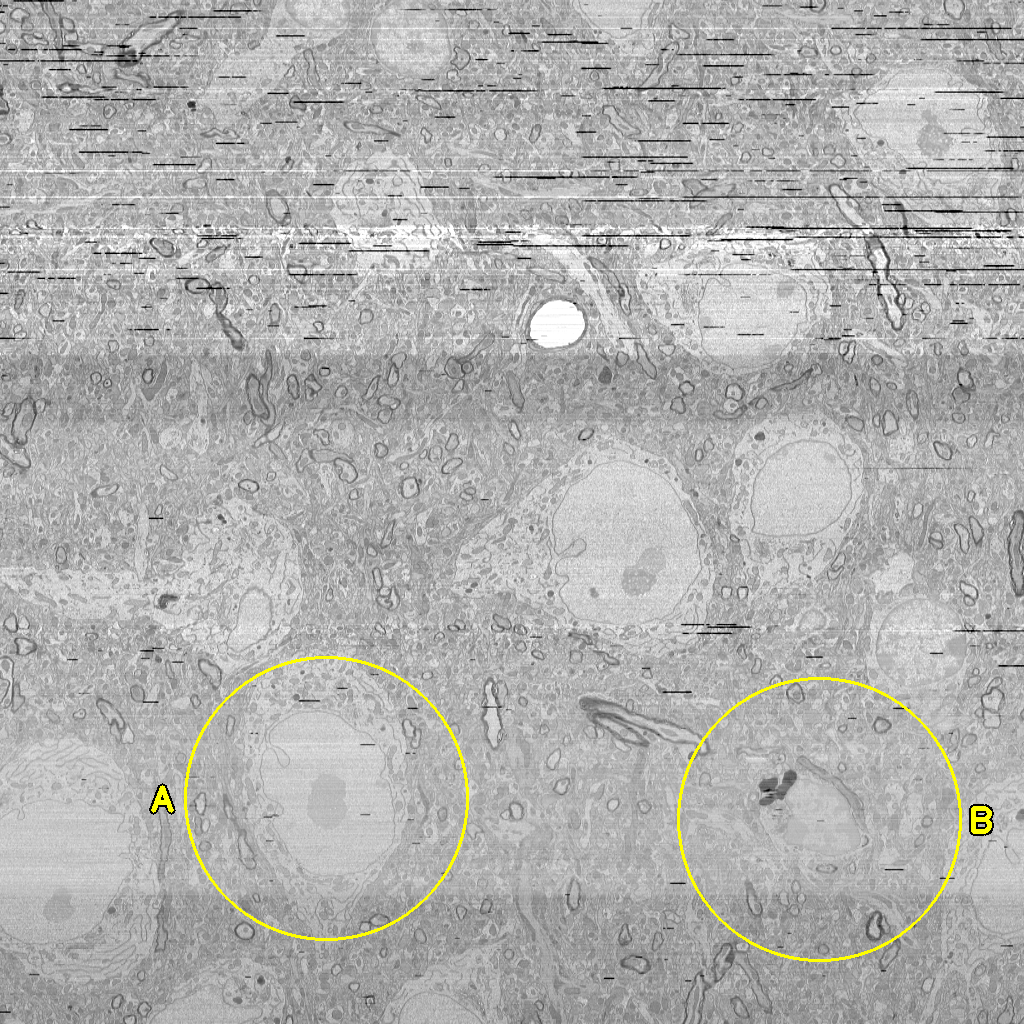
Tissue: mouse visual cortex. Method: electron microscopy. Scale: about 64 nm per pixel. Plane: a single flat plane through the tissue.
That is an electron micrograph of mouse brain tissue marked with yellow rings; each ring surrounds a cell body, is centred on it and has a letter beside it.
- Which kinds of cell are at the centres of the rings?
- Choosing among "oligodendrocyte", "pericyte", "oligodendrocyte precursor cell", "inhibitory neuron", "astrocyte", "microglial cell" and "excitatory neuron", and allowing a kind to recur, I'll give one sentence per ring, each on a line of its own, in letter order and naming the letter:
Ring A sits around an excitatory neuron.
Ring B sits around a microglial cell.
